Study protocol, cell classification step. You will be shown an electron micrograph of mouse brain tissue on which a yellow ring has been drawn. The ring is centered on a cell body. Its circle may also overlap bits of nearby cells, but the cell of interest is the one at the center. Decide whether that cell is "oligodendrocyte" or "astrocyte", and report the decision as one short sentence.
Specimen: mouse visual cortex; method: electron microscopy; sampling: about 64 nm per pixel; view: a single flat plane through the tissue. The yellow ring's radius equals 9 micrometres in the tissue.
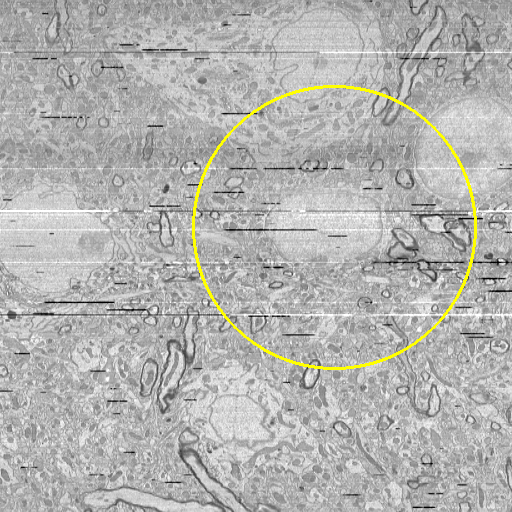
The marked cell is an astrocyte.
